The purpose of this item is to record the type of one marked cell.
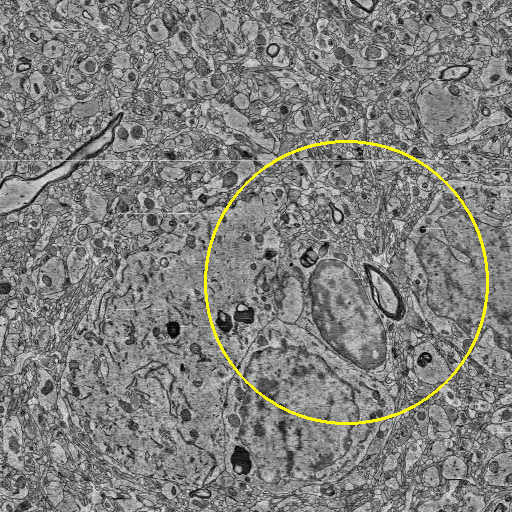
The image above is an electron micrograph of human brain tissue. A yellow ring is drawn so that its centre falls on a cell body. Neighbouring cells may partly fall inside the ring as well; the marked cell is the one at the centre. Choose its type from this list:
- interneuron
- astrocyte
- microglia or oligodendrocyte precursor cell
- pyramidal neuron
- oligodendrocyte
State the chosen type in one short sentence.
What the ring marks here is a microglial cell or oligodendrocyte precursor cell.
